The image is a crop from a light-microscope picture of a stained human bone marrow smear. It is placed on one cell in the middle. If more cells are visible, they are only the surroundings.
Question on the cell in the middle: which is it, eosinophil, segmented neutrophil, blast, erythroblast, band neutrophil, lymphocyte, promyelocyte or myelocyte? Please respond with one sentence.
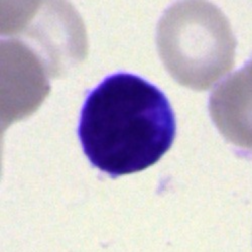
Framed in the middle of the crop is a blast.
